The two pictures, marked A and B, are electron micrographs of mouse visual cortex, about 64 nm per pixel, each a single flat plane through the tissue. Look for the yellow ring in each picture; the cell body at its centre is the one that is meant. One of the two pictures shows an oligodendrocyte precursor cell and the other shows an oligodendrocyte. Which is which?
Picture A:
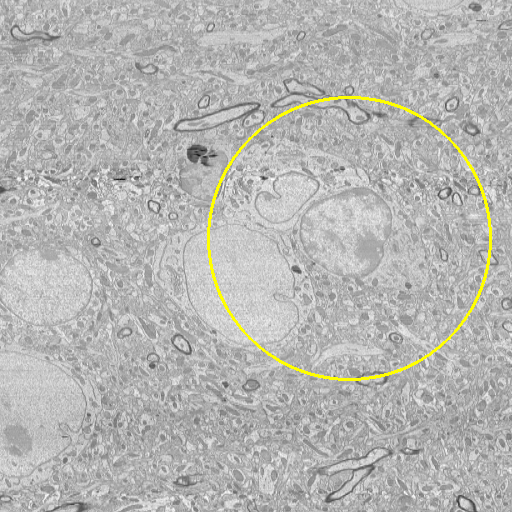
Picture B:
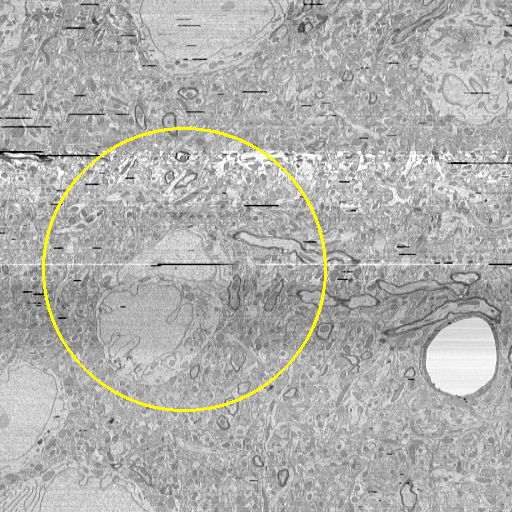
In picture A the cell is an oligodendrocyte; in picture B, an oligodendrocyte precursor cell.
